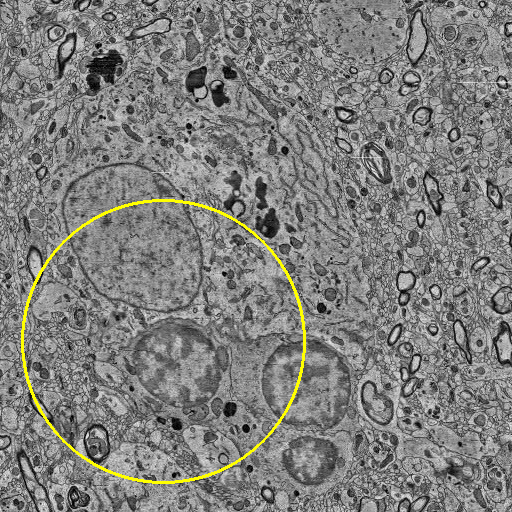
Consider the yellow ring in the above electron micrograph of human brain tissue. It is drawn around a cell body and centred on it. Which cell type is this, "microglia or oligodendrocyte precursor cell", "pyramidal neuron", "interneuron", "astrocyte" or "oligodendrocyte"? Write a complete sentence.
The cell in question is an oligodendrocyte.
